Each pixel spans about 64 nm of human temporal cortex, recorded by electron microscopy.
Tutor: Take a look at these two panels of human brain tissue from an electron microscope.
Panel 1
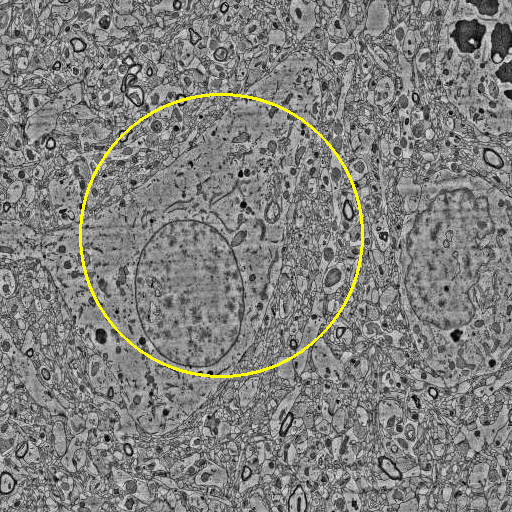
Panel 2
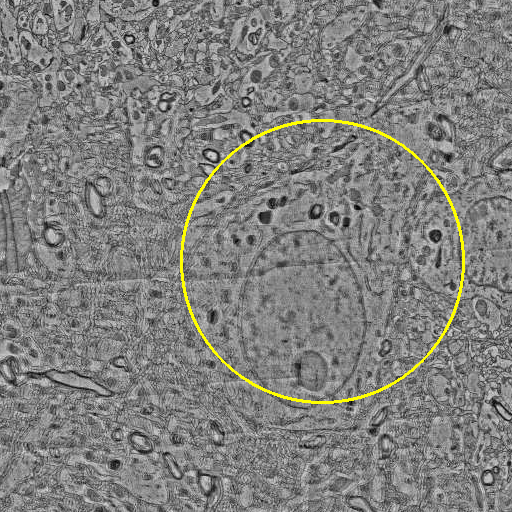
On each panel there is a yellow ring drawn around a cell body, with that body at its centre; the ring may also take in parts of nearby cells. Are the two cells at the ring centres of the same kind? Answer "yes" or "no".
yes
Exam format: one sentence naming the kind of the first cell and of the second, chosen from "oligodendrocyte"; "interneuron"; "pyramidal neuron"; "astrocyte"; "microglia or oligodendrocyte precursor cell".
The second cell is a pyramidal neuron, just as the first is.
